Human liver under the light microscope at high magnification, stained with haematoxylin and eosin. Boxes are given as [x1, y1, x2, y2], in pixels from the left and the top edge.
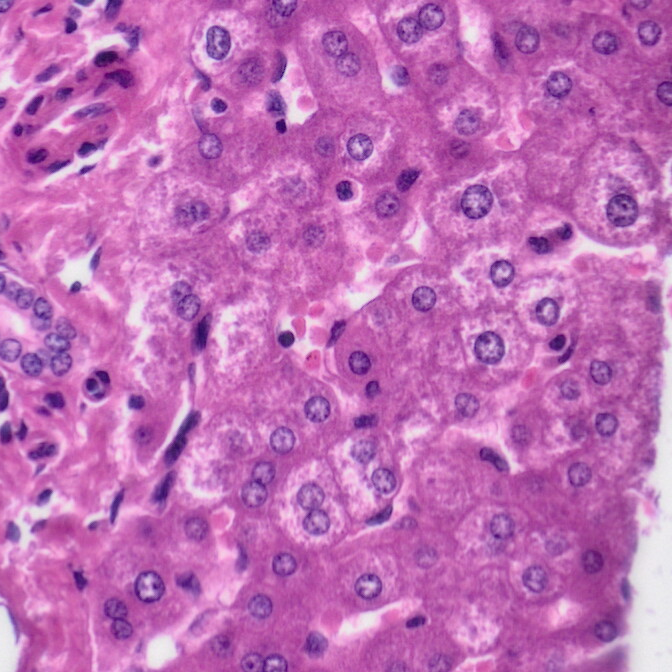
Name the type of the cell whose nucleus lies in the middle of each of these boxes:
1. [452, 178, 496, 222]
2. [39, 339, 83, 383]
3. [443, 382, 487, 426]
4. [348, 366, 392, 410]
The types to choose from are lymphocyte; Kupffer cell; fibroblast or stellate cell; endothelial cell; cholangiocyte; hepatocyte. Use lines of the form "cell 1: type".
cell 1: hepatocyte
cell 2: cholangiocyte
cell 3: hepatocyte
cell 4: fibroblast or stellate cell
